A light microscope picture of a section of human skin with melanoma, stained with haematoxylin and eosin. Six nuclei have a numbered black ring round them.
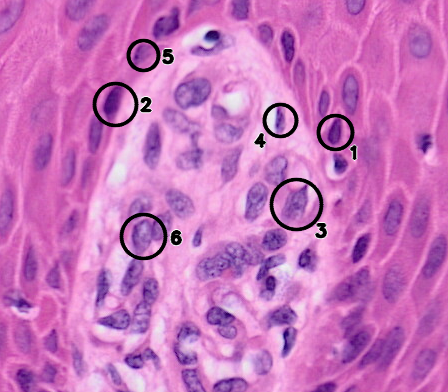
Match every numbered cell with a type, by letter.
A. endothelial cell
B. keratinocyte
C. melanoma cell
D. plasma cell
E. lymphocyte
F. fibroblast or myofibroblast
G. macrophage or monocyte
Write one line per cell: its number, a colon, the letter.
1: B
2: B
3: A
4: F
5: B
6: A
